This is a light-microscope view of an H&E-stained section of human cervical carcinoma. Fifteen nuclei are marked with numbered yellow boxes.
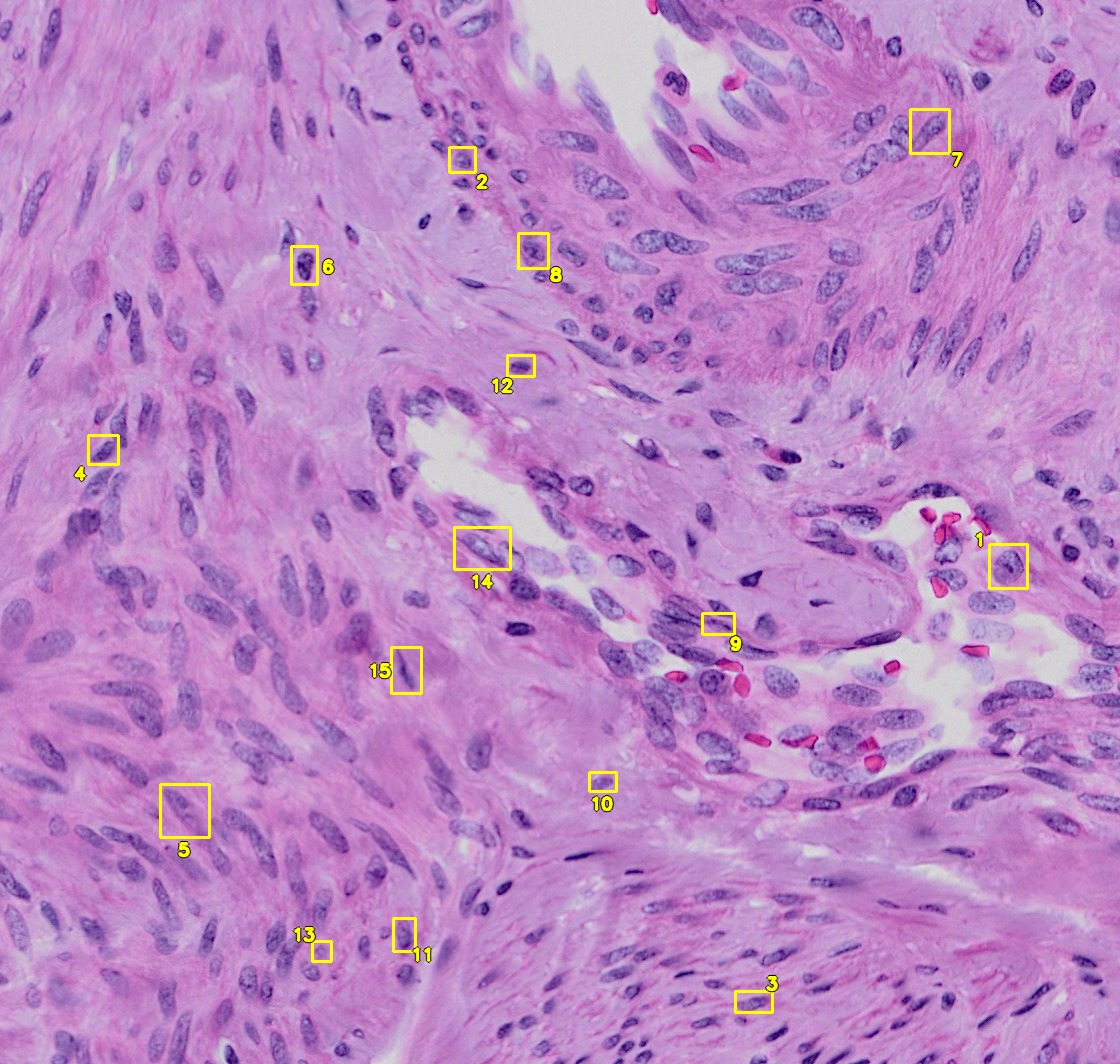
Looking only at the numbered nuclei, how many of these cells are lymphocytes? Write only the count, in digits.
1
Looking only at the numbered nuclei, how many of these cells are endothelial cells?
3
